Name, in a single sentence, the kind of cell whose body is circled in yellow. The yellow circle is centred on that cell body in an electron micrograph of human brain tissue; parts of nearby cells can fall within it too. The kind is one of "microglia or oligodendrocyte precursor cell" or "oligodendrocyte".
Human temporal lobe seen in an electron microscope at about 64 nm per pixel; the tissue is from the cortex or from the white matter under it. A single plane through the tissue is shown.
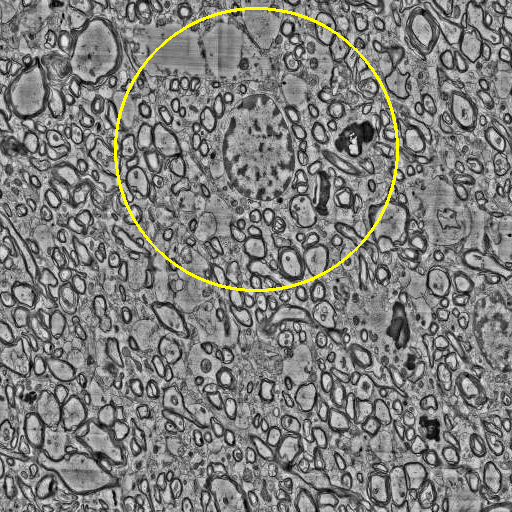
The circled cell body belongs to a microglial cell or oligodendrocyte precursor cell.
